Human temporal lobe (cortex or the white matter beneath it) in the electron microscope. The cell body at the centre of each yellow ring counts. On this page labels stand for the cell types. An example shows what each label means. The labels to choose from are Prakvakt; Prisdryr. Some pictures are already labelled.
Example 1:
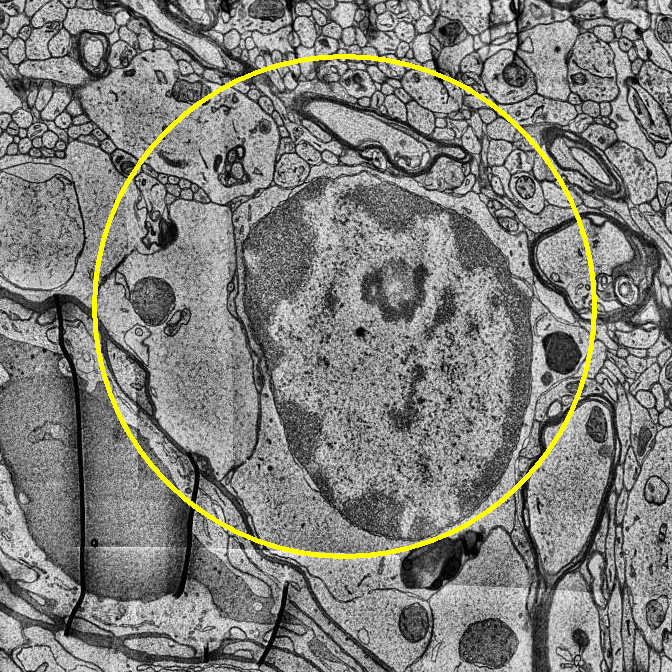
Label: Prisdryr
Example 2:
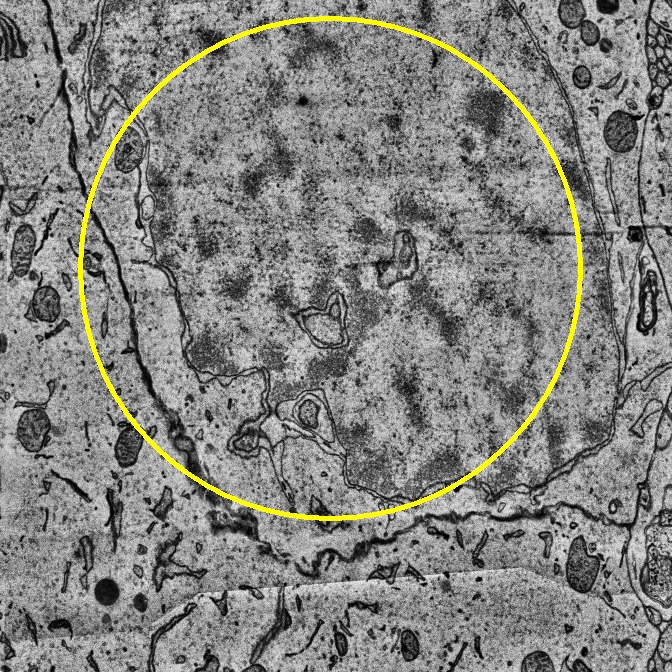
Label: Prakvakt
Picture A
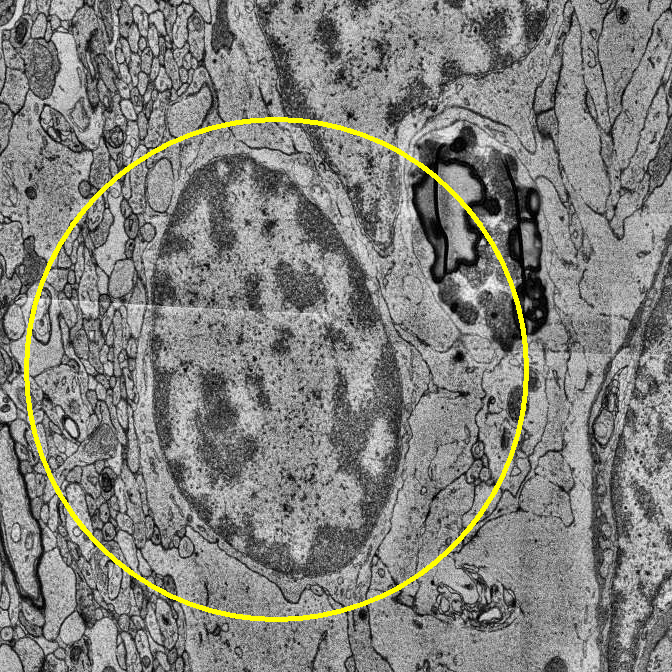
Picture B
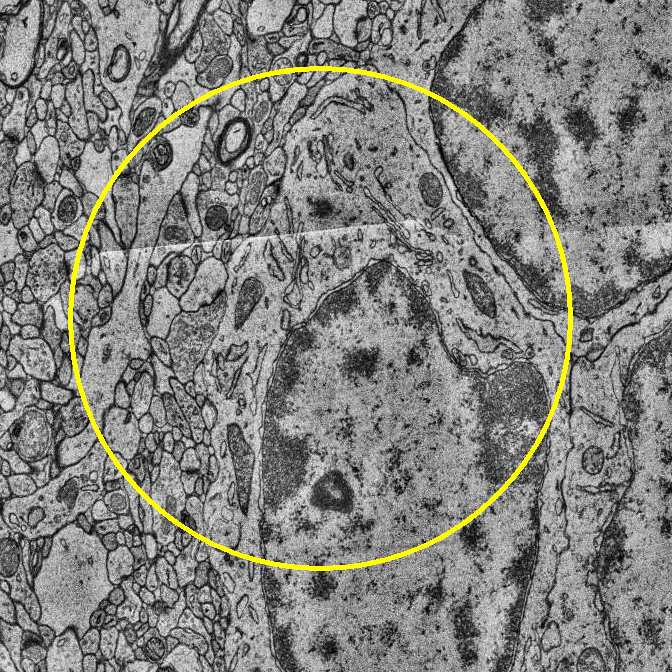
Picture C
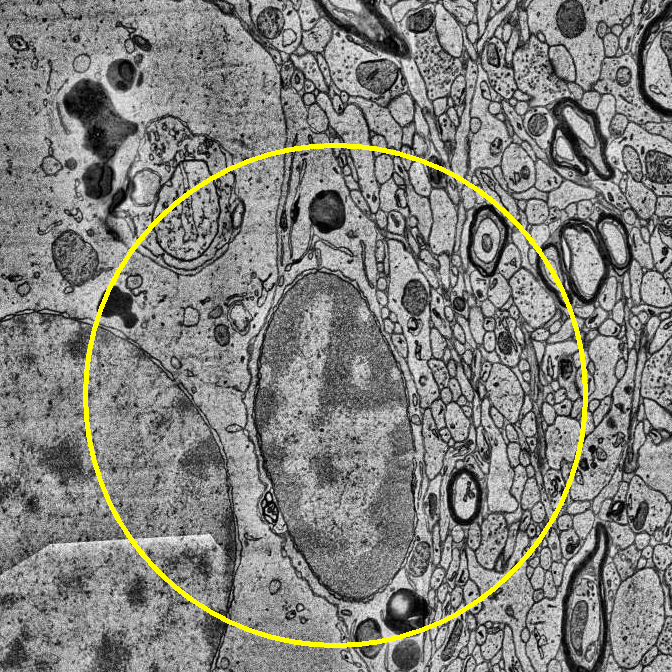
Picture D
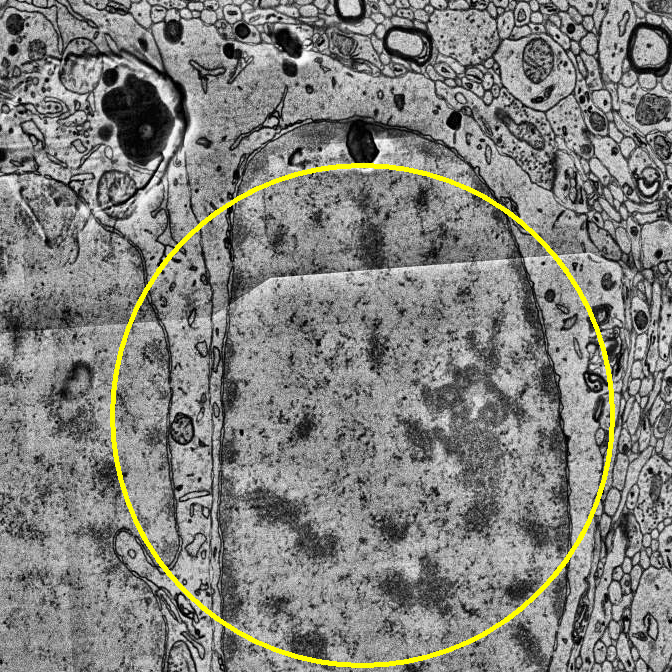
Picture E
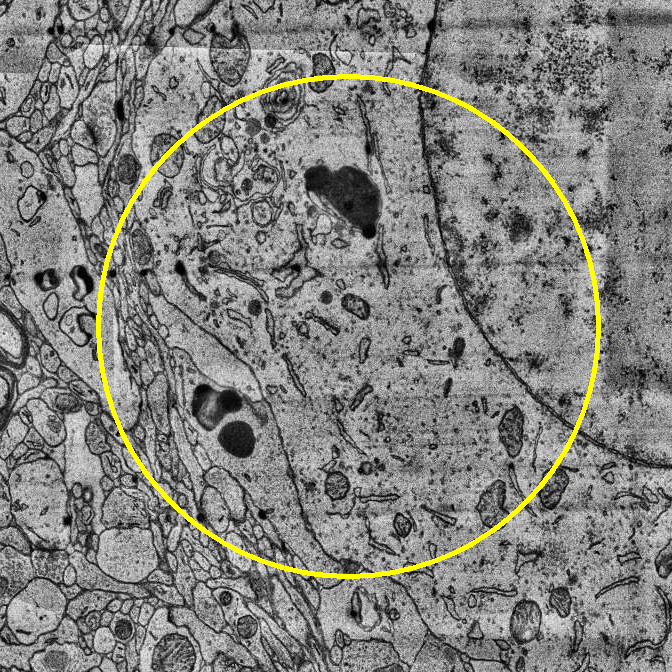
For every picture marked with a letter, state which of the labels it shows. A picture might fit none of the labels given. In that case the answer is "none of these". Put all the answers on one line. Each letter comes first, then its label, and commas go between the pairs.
A Prisdryr, B Prisdryr, C Prisdryr, D Prisdryr, E Prisdryr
